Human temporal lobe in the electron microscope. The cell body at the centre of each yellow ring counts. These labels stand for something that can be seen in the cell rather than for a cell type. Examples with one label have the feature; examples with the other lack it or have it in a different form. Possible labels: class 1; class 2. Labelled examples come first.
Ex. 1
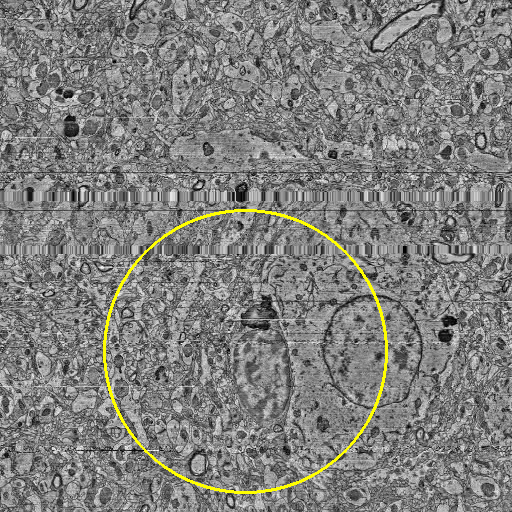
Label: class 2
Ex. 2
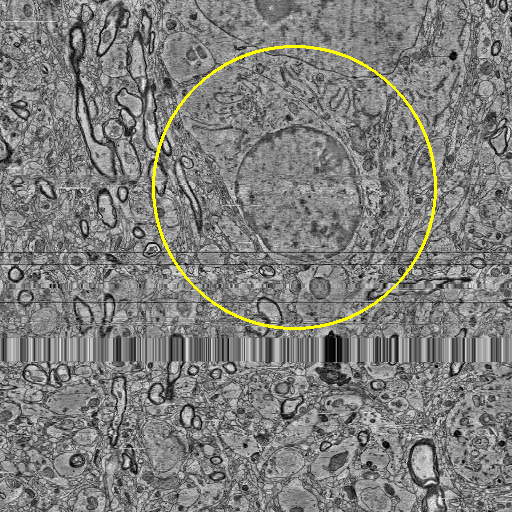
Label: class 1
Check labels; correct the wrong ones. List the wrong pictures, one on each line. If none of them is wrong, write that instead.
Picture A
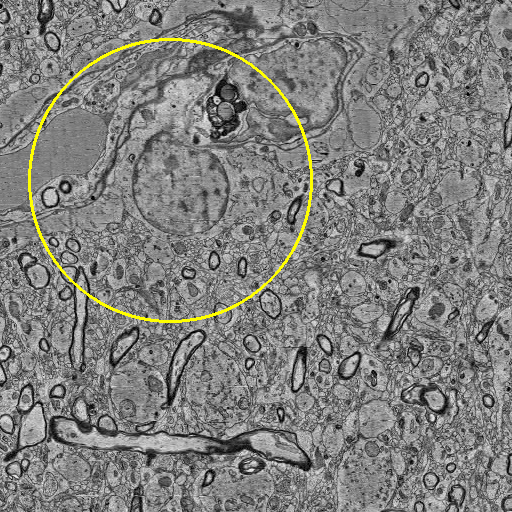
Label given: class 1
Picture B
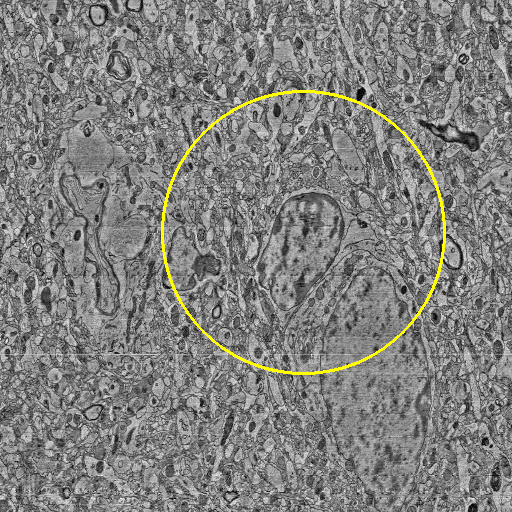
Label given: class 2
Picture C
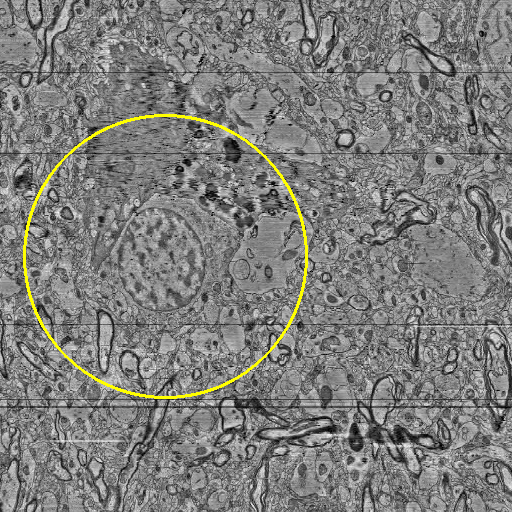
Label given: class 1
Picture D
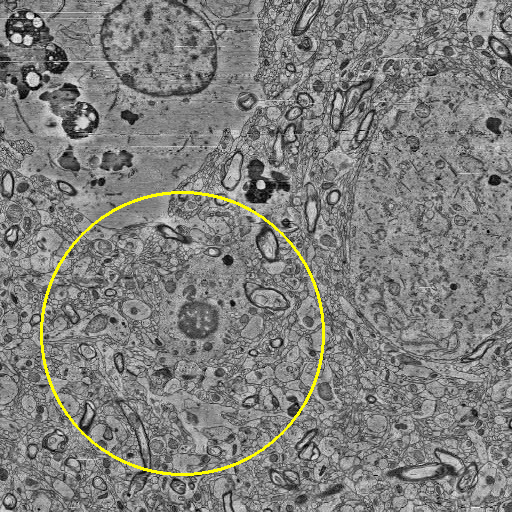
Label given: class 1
Every label is right.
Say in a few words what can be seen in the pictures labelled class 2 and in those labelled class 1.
Seen in class 2: clearly elongated nuclei; seen in class 1: round or nearly round nuclei.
